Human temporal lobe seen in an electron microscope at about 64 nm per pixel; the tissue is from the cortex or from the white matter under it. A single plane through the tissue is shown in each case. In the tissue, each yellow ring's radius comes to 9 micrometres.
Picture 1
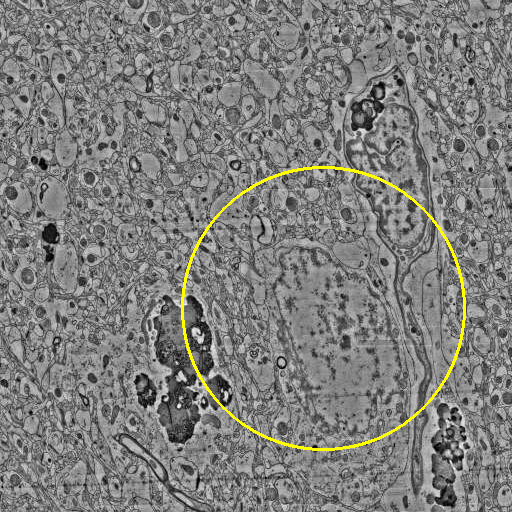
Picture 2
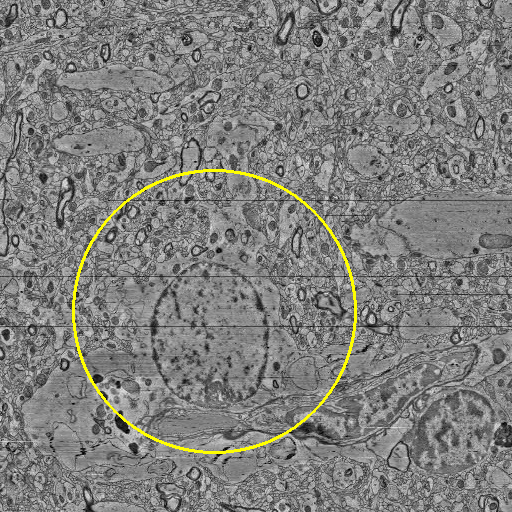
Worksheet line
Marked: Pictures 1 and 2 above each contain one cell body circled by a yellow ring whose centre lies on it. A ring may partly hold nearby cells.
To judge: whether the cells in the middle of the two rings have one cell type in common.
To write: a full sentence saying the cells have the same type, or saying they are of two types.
The cells in the middle of the rings in Picture 1 and Picture 2 are of two types.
